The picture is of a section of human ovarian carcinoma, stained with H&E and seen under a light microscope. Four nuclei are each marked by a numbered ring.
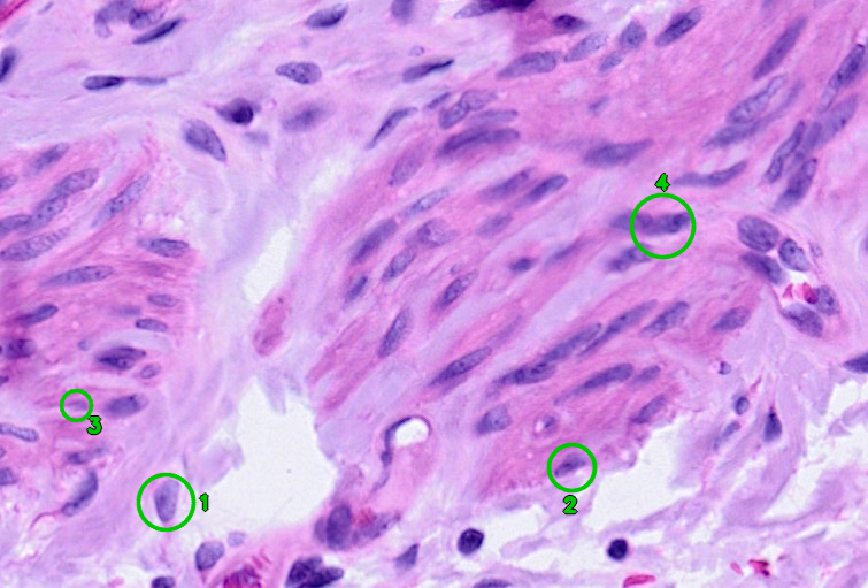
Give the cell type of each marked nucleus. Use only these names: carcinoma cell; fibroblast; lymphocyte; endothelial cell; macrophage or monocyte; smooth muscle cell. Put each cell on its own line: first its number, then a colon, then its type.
1: fibroblast
2: smooth muscle cell
3: smooth muscle cell
4: smooth muscle cell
